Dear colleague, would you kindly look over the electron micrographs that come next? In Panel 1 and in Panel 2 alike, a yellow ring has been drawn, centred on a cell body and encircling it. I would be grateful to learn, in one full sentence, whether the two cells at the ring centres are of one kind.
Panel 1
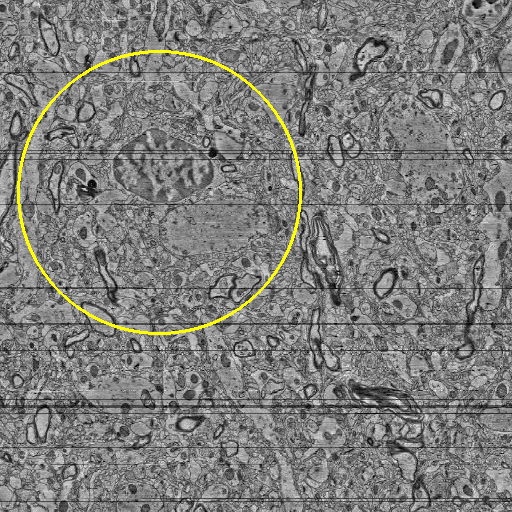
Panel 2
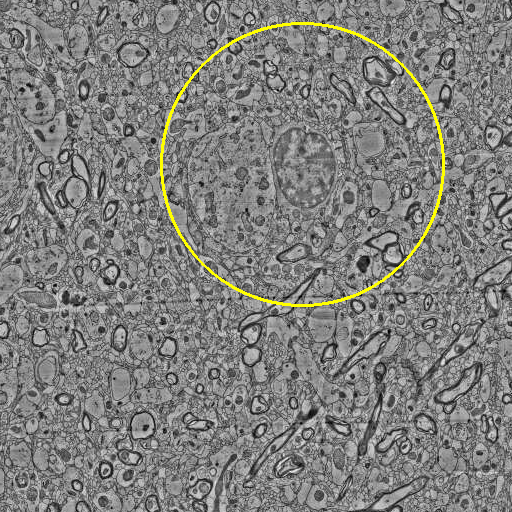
No, the cells in the middle of the rings in the two panels are of two kinds.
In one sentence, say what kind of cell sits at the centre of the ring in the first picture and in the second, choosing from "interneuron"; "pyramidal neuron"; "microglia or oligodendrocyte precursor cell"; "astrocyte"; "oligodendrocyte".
The first picture's ringed cell is a microglial cell or oligodendrocyte precursor cell, while the second picture's is an oligodendrocyte.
